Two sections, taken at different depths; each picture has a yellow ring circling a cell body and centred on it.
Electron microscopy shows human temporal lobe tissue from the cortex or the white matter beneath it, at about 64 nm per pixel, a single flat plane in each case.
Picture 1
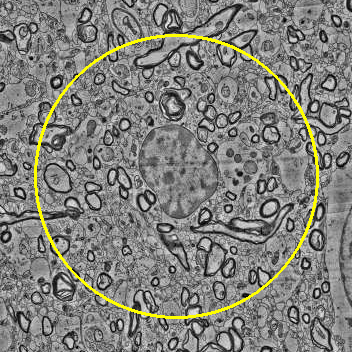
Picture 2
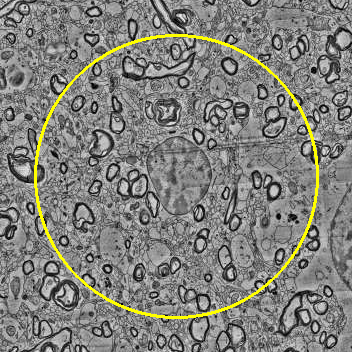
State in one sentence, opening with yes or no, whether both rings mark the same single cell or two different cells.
Yes, one cell is ringed in yellow twice over.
